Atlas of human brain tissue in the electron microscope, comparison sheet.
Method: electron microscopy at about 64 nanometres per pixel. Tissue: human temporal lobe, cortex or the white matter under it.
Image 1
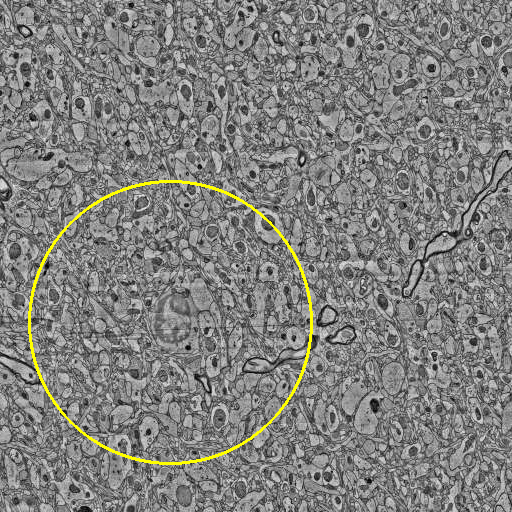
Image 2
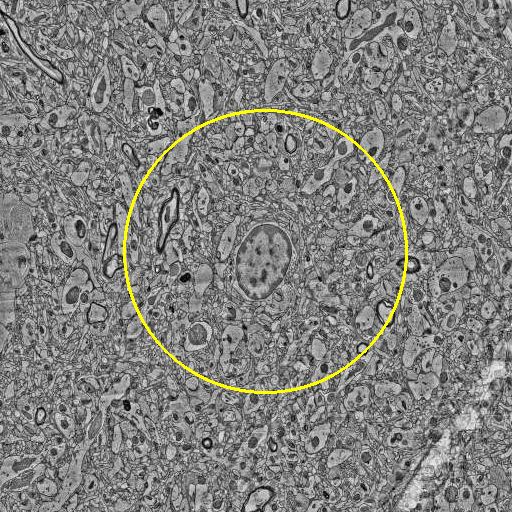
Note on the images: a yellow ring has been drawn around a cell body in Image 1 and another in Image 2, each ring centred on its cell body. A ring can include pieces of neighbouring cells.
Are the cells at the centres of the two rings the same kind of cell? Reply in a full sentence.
No, the two cells are of two kinds.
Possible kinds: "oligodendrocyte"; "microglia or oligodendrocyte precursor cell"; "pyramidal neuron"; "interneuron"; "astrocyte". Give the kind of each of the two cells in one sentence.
The cell in the second picture is a microglial cell or oligodendrocyte precursor cell, and that in the first is an oligodendrocyte.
